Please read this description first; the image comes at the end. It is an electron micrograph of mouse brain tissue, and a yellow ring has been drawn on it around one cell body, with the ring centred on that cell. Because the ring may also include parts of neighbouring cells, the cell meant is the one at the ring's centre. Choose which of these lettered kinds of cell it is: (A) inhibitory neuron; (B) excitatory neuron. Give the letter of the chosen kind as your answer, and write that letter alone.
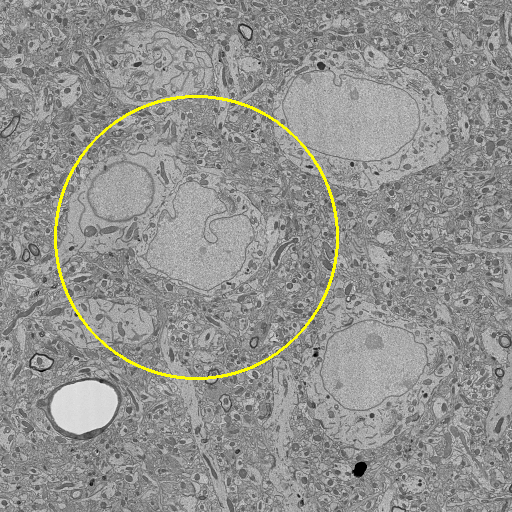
A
